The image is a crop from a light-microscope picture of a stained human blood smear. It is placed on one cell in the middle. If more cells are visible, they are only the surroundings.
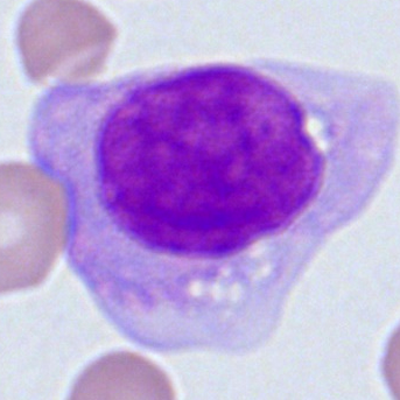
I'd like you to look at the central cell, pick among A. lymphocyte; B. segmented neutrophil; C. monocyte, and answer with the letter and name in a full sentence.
The central cell of the crop is a monocyte, which makes C the correct option.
